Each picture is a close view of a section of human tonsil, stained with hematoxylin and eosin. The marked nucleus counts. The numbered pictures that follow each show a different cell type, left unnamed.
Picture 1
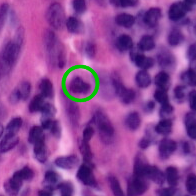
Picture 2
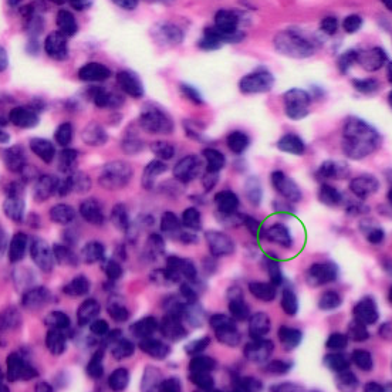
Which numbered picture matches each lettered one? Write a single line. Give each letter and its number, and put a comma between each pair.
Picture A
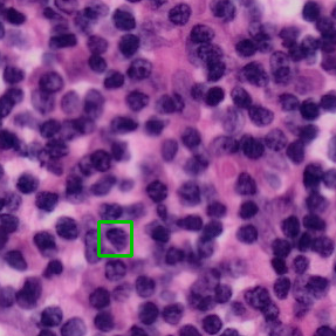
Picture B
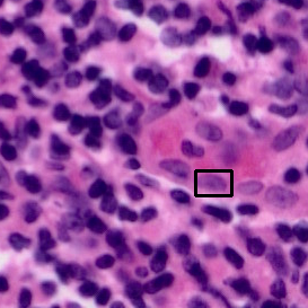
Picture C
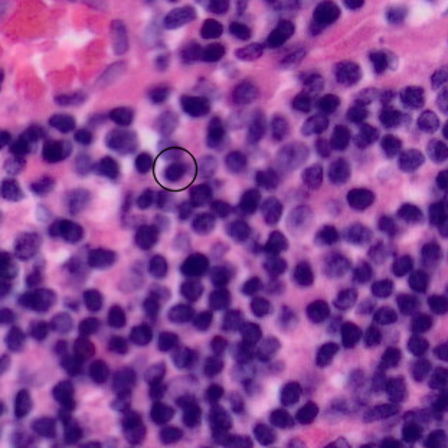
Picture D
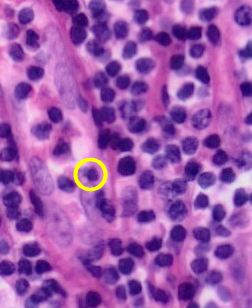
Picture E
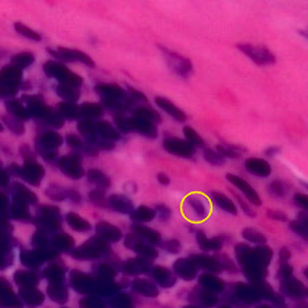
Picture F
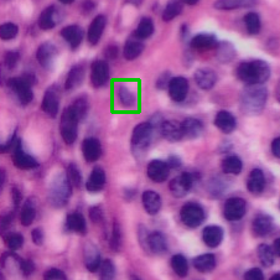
A 2, B 1, C 2, D 1, E 1, F 1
